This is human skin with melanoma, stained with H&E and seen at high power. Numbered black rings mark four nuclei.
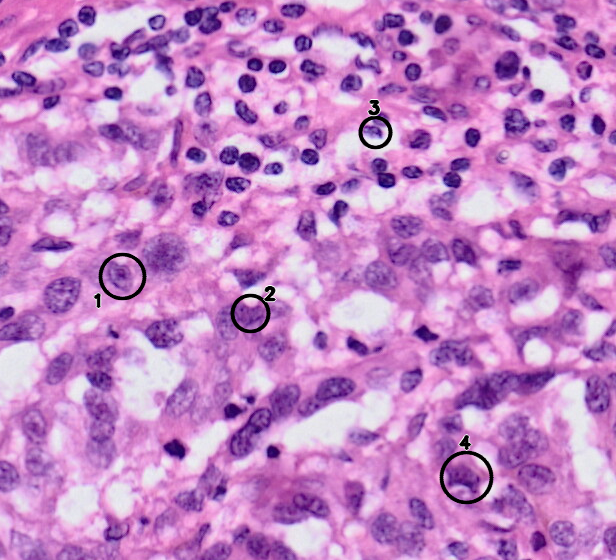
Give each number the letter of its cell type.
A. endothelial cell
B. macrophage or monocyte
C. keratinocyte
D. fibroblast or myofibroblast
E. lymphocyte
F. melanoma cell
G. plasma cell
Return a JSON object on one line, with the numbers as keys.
{"1": "F", "2": "F", "3": "E", "4": "F"}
